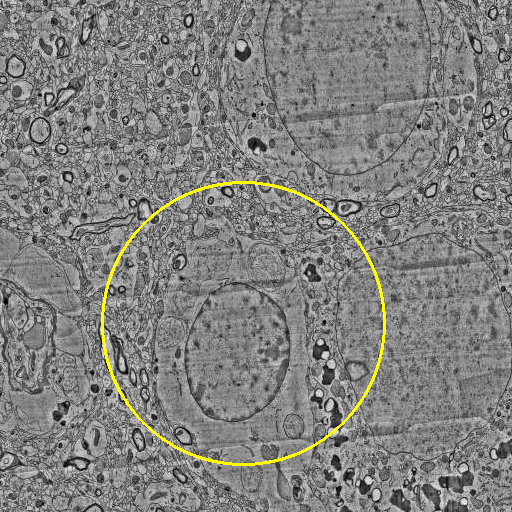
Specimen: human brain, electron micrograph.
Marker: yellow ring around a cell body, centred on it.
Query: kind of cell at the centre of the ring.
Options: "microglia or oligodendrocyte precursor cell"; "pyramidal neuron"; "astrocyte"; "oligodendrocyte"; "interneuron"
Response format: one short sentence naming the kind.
This cell body belongs to an astrocyte.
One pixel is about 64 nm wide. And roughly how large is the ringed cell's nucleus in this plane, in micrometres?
The nucleus of the ringed cell is approximately 9 by 7 micrometres in this plane.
